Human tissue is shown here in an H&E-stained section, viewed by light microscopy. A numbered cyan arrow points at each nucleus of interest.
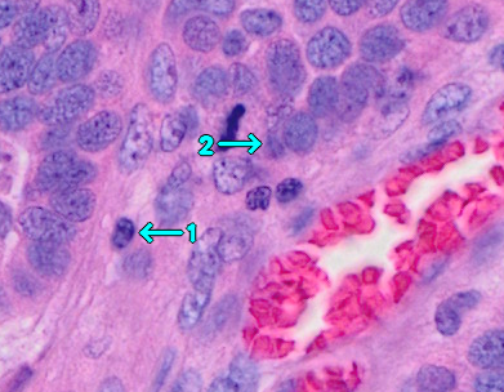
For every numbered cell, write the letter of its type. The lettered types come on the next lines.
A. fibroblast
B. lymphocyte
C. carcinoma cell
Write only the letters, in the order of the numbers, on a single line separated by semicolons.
B; C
